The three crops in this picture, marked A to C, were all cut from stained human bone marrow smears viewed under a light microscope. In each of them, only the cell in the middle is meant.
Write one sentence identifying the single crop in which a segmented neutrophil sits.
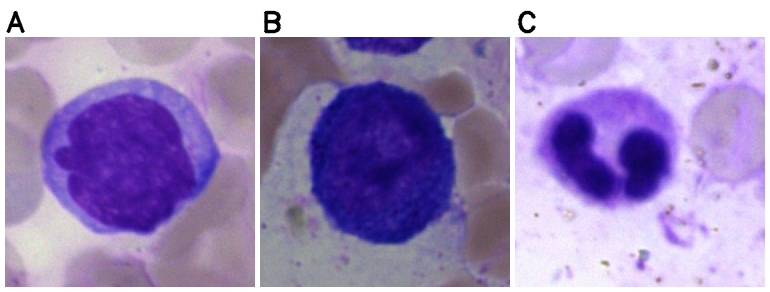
Only in crop C is a segmented neutrophil shown.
